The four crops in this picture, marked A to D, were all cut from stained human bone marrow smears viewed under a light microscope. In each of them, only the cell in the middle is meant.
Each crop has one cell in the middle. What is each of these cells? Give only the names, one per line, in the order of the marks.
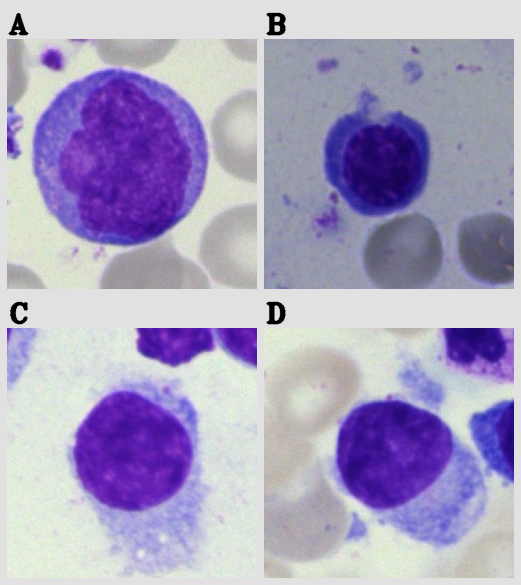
monocyte
erythroblast
hairy cell
hairy cell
